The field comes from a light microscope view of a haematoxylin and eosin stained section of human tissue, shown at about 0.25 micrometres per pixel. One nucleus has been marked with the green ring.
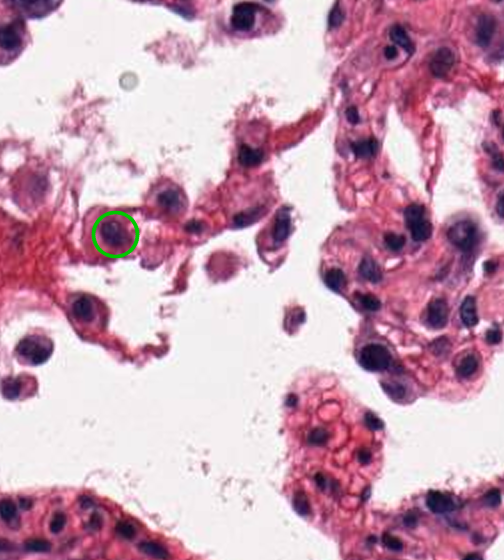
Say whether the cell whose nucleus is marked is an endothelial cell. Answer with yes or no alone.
no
